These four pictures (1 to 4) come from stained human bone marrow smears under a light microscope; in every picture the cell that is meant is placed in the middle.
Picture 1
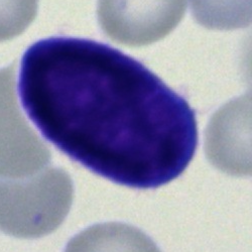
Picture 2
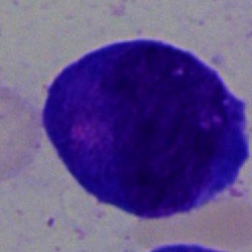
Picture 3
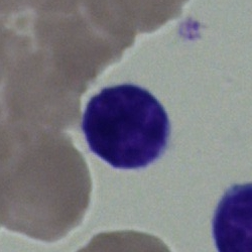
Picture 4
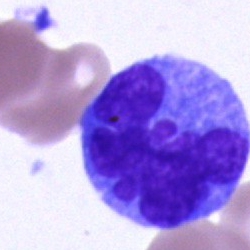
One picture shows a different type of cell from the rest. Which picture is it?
3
